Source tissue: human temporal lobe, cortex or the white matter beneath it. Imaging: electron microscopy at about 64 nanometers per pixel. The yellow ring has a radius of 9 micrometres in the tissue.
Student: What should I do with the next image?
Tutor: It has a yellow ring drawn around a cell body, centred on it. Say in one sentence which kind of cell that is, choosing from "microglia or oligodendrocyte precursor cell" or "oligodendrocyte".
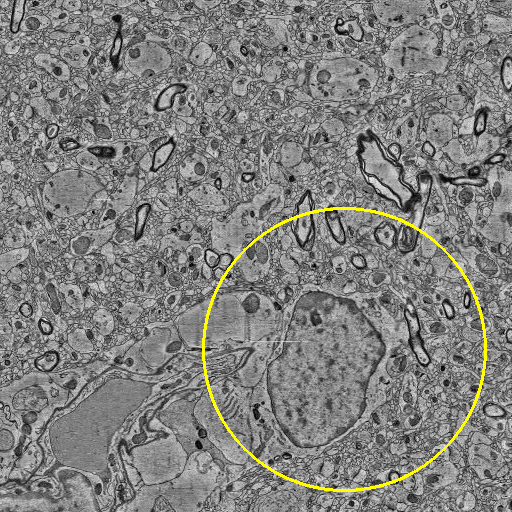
The ring's centre is occupied by a microglial cell or oligodendrocyte precursor cell.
